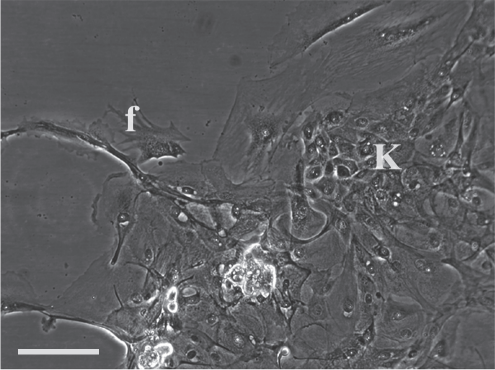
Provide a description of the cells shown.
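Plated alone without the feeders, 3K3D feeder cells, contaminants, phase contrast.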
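A sparse keratinocyte culture in which a group of small polygonal epithelial cells lies among a few very broad, flattened cells. The polygonal cells are gathered at the right and centre, with rounded nuclei and outlines that abut their neighbours. Near the lower centre a cluster of bright, refractile, rounded cells is piled up. The broad cells spread thinly over large areas of the dish, with faint borders and long thin extensions at the left; their cytoplasm is pale and flat. Much of the field between them is empty background.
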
